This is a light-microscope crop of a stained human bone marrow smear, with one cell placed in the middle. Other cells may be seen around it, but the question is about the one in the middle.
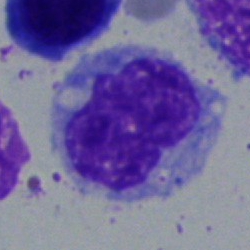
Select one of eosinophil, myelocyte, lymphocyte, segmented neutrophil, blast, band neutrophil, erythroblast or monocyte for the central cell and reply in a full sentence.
Centrally within this crop lies a monocyte.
